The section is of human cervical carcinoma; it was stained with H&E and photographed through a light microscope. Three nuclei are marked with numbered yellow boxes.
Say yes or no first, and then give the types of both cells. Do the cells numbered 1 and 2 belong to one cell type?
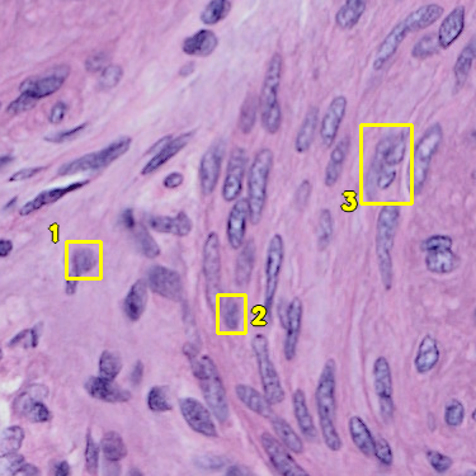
No, cell 1 is a fibroblast and cell 2 is a smooth muscle cell.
